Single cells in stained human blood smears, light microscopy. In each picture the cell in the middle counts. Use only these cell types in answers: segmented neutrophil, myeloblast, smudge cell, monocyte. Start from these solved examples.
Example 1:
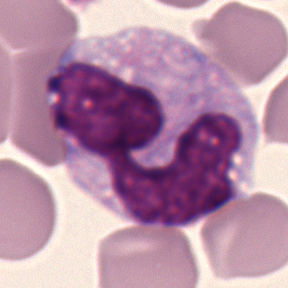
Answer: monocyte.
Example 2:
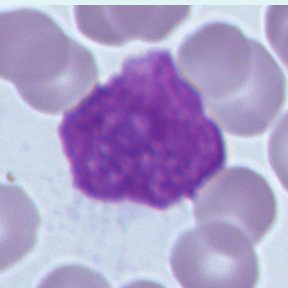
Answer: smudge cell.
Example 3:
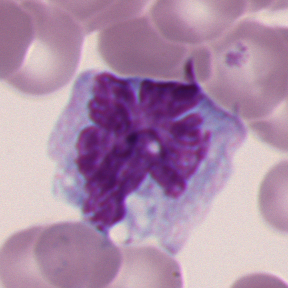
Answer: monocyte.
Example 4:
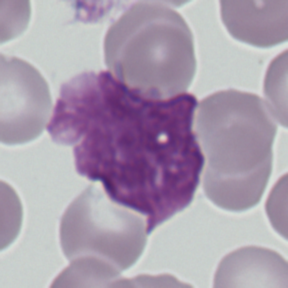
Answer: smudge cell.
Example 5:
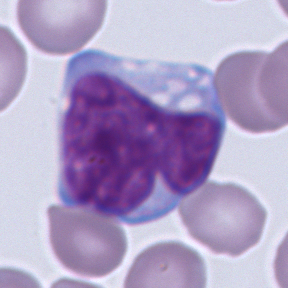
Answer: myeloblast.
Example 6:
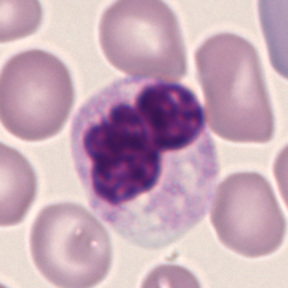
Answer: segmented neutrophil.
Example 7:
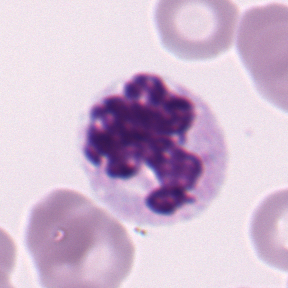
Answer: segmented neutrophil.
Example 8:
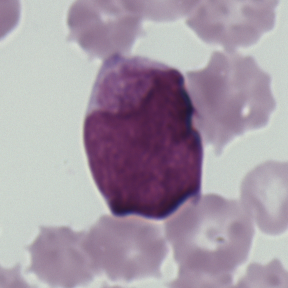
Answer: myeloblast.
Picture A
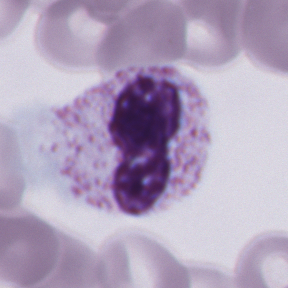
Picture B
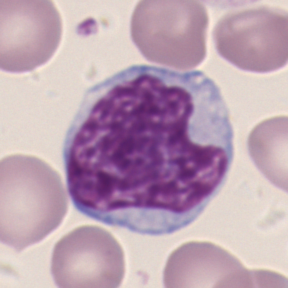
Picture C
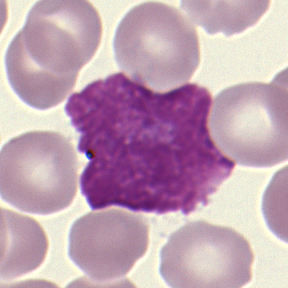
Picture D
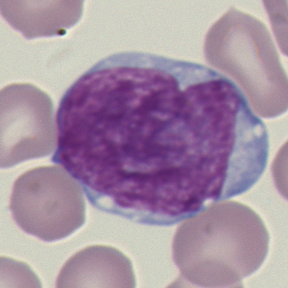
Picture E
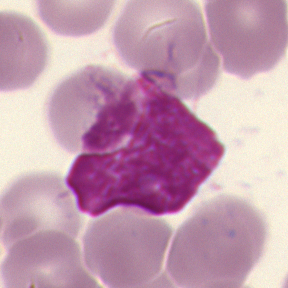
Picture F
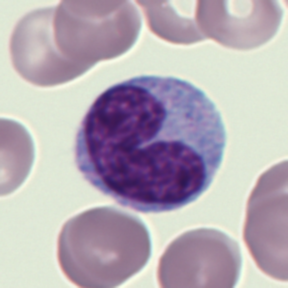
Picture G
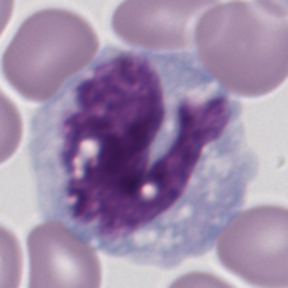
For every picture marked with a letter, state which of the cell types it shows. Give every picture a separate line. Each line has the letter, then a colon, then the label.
A: segmented neutrophil.
B: myeloblast.
C: smudge cell.
D: myeloblast.
E: smudge cell.
F: monocyte.
G: monocyte.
